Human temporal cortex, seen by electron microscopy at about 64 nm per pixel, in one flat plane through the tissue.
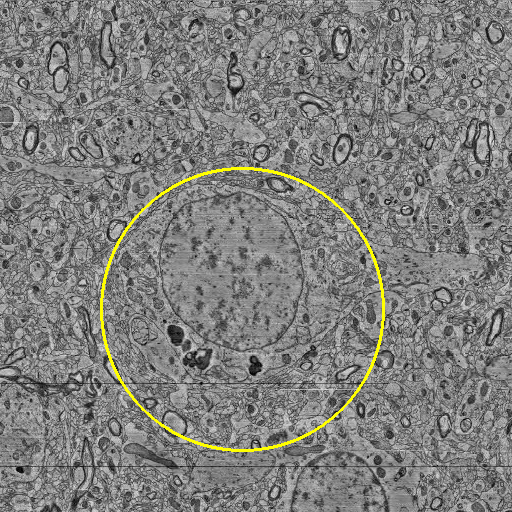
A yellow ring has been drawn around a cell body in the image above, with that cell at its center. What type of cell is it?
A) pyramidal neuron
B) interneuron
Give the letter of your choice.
A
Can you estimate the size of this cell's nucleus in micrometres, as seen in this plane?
About 11 micrometres by about 9 micrometres in this plane.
